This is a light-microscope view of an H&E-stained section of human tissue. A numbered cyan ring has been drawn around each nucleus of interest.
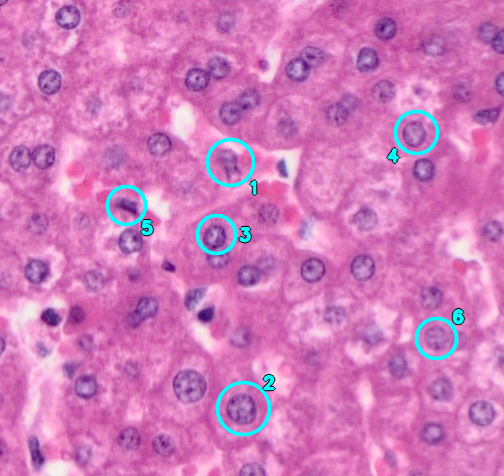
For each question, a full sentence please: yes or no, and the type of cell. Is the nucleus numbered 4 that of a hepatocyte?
Yes, number 4 corresponds to a hepatocyte.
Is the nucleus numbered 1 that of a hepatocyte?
No, cell 1 is not to be taken for a hepatocyte; it is a Kupffer cell.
